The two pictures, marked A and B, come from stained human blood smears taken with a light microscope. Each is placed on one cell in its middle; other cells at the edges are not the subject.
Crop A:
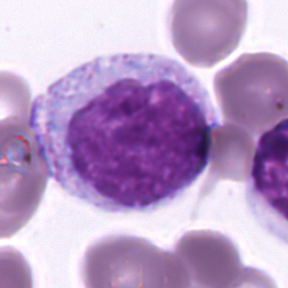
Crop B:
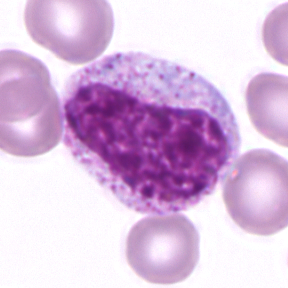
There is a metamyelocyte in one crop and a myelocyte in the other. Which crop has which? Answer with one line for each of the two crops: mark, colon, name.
A: myelocyte
B: metamyelocyte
